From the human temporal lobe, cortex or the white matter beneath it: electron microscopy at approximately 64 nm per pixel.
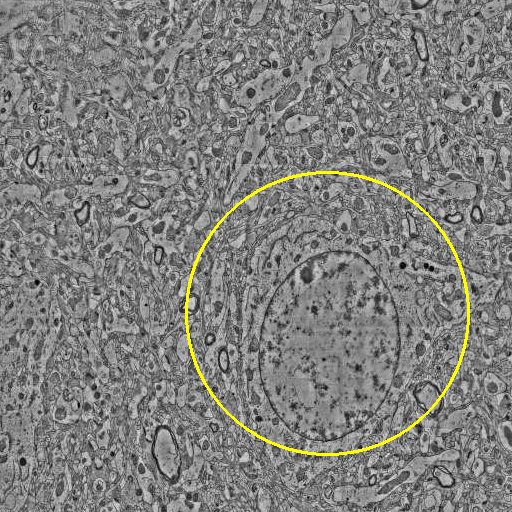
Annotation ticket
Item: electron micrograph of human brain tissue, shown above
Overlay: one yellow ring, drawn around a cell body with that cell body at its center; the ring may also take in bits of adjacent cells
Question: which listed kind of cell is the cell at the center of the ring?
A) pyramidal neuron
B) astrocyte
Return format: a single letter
A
